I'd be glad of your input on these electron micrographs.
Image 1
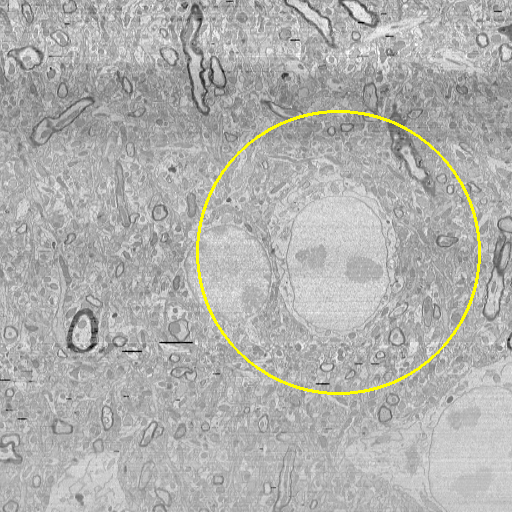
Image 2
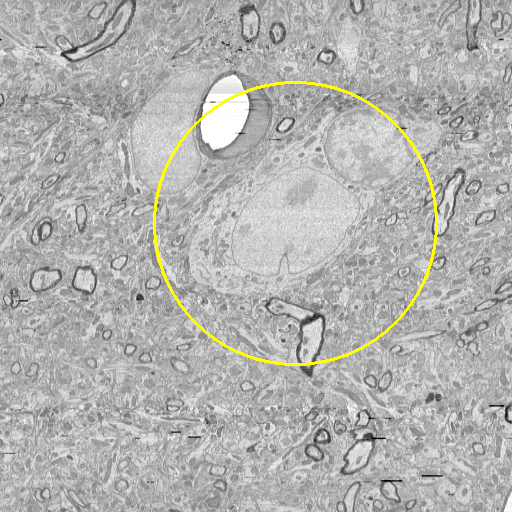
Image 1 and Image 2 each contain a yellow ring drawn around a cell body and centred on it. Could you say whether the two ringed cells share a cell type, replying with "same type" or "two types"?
same type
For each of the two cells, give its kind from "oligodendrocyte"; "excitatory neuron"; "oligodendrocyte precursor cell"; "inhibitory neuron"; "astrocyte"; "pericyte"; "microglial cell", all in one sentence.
In each of the two pictures, the ringed cell is an excitatory neuron.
